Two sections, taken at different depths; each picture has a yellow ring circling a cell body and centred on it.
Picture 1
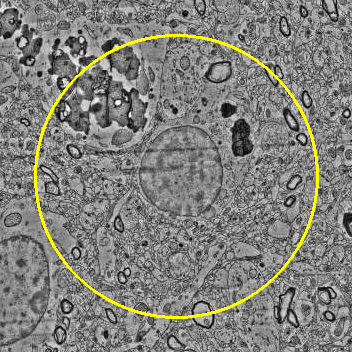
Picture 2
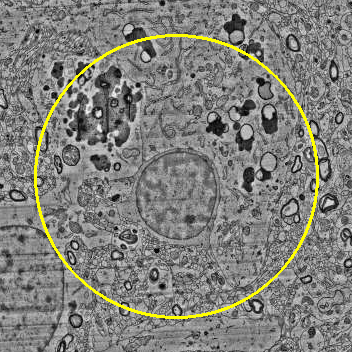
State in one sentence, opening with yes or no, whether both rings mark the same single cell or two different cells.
Yes, each ring singles out the same cell.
